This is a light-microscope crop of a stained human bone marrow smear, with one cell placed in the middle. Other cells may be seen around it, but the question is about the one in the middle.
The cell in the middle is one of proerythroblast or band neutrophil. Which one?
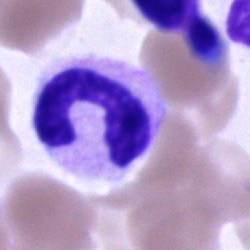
band neutrophil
